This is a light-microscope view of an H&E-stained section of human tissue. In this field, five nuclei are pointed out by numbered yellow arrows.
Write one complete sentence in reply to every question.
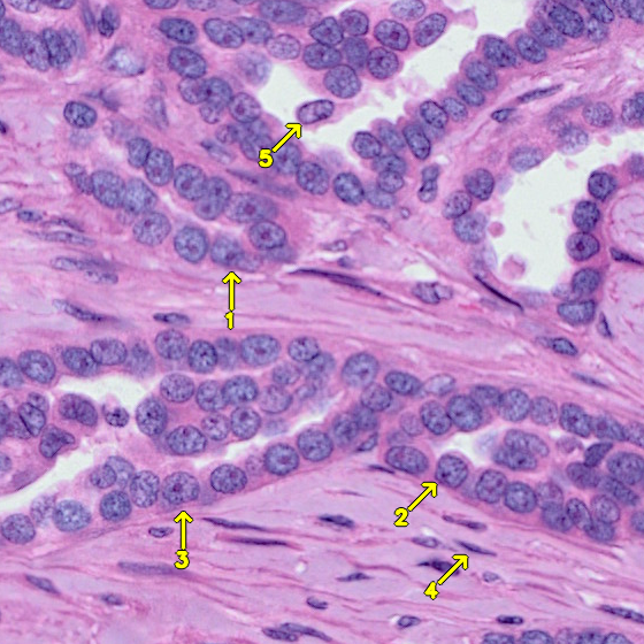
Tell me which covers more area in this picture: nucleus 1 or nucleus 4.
Nucleus 1 is larger, with an area about 4 times that of nucleus 4.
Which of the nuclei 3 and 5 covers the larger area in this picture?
Nucleus 3 is the larger one, covering about 1.5 times the area of nucleus 5.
